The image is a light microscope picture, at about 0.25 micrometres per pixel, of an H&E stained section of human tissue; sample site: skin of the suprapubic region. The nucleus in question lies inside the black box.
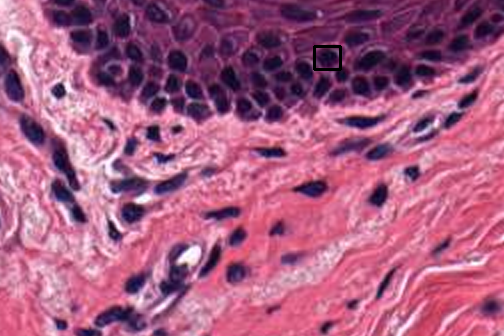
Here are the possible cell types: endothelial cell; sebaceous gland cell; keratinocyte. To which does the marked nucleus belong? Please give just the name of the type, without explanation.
keratinocyte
